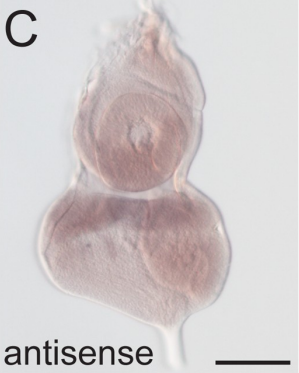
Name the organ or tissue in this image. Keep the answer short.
Eye-antennal discs.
